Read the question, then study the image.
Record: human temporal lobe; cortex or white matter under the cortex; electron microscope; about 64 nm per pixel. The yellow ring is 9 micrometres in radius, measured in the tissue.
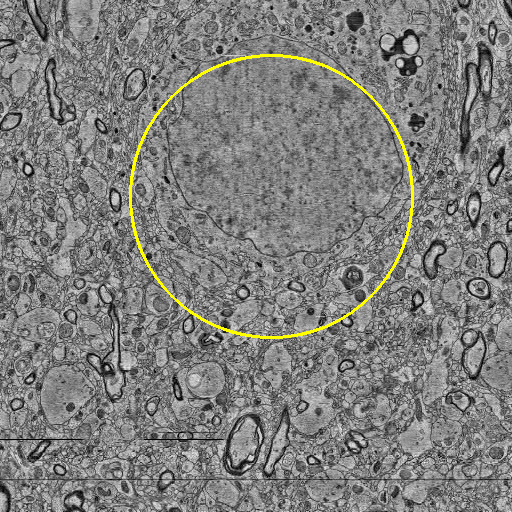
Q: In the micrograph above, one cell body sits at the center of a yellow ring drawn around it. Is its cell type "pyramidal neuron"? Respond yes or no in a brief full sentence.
Yes, its cell type is that one.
